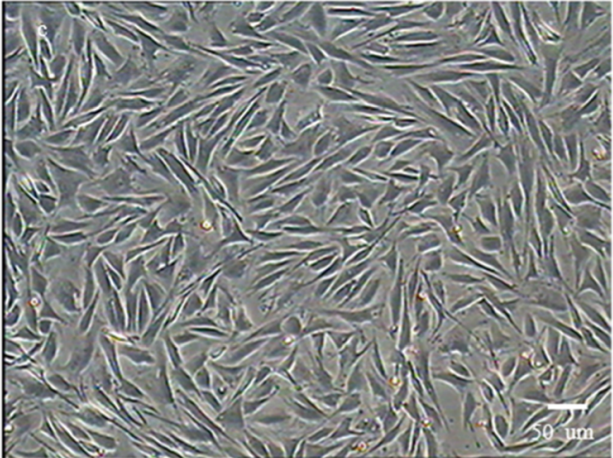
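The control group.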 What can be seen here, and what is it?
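The cells lie in loose parallel or crisscrossing bundles, some overlapping, with small spaces of dish between them. A few small, round, bright refractile bodies, likely detached rounded cells or debris, lie scattered across the field. No dense clusters, granular deposits or nodules are visible.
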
